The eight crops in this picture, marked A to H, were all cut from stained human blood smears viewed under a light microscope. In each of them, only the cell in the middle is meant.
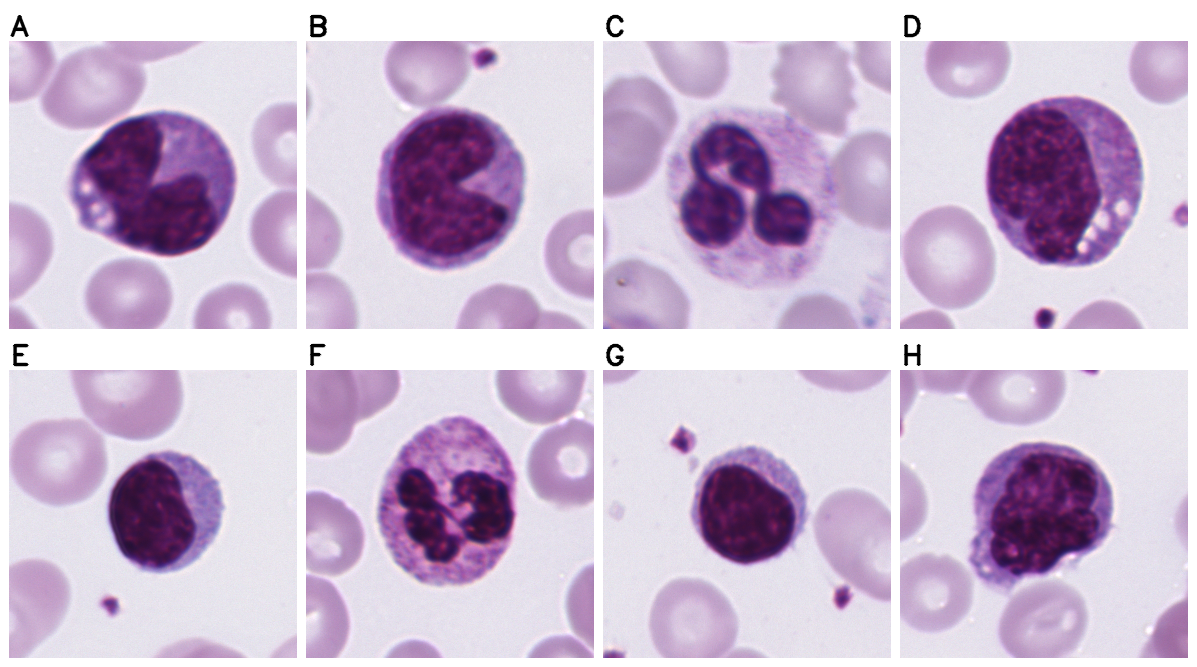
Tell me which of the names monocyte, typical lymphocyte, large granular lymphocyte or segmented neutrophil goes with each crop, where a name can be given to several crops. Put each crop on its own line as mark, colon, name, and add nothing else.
A: monocyte
B: monocyte
C: segmented neutrophil
D: monocyte
E: typical lymphocyte
F: segmented neutrophil
G: typical lymphocyte
H: monocyte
